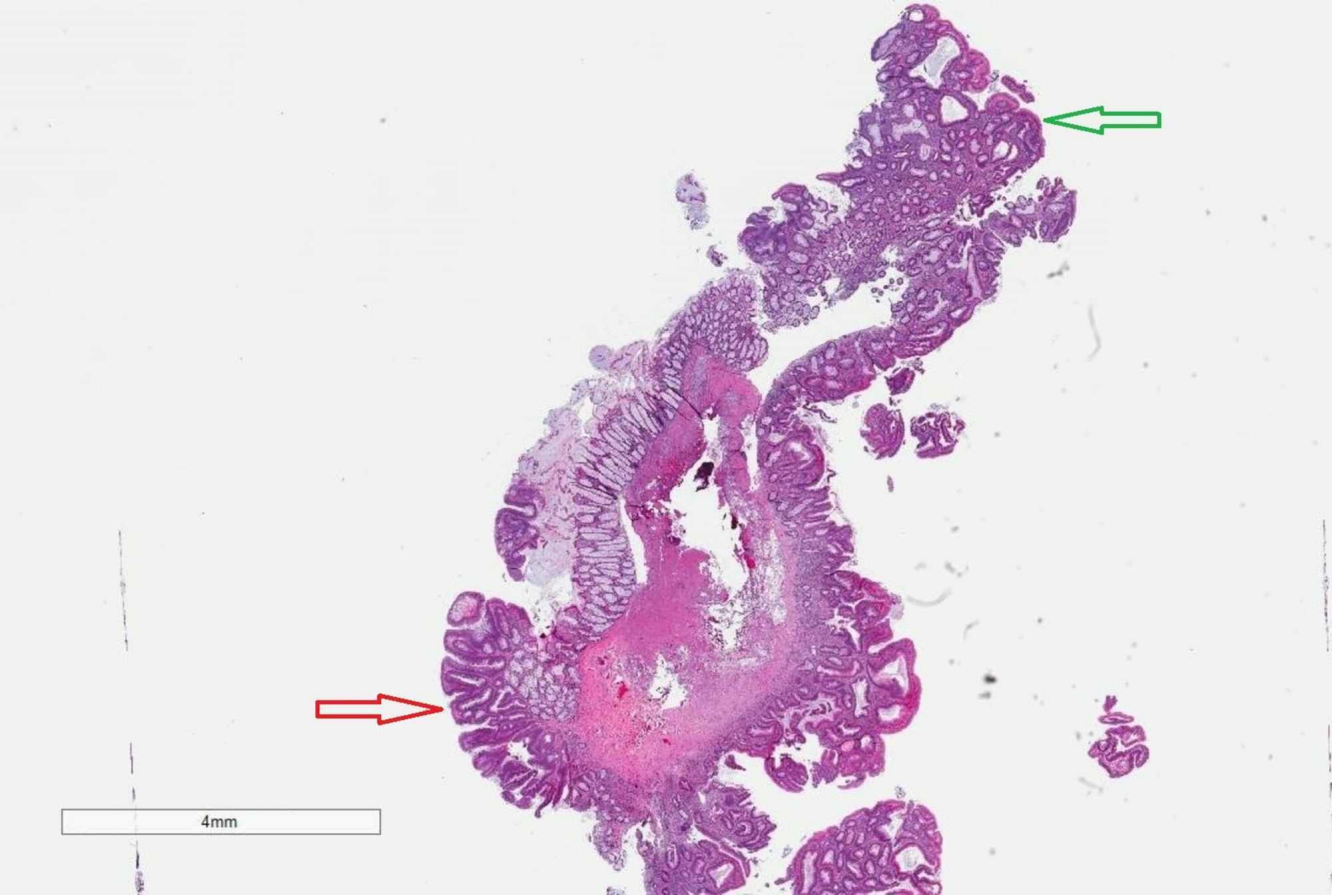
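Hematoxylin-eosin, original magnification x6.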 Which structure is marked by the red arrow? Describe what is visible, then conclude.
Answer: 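At the red arrow the surface forms long, slender finger-like fronds lined by purple epithelium. The fronds stand side by side along the lower left border of the polyp. So: distinct papillary projections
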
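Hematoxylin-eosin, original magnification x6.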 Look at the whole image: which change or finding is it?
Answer: Tubulovillus adenoma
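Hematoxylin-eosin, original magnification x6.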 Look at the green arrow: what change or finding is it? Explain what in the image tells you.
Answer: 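Non-villous configuration. At the green arrow the tissue is made of rounded and tubular glands rather than long finger-like fronds. The surface there is flatter and lacks the tall projections seen at the lower left.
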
